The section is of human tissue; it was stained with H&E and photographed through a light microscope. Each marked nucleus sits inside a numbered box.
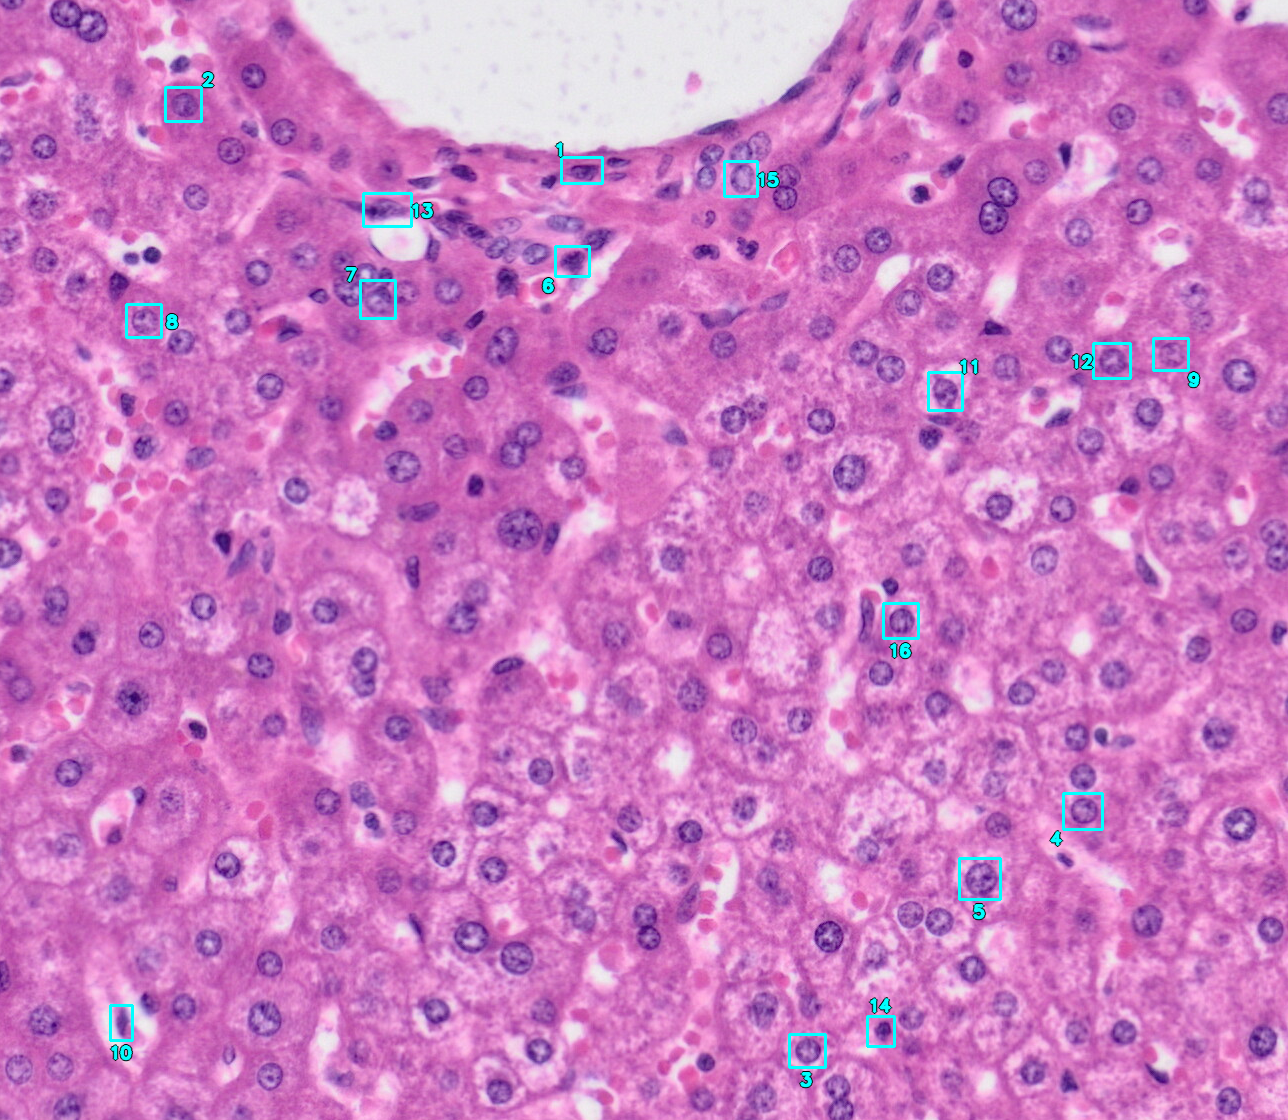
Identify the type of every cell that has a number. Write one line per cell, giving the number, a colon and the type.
1: fibroblast or stellate cell
2: hepatocyte
3: hepatocyte
4: hepatocyte
5: hepatocyte
6: fibroblast or stellate cell
7: cholangiocyte
8: hepatocyte
9: hepatocyte
10: Kupffer cell
11: hepatocyte
12: hepatocyte
13: fibroblast or stellate cell
14: lymphocyte
15: cholangiocyte
16: hepatocyte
